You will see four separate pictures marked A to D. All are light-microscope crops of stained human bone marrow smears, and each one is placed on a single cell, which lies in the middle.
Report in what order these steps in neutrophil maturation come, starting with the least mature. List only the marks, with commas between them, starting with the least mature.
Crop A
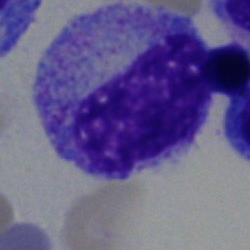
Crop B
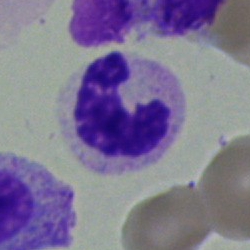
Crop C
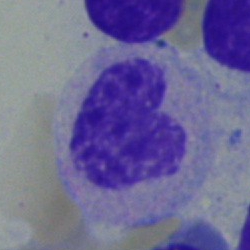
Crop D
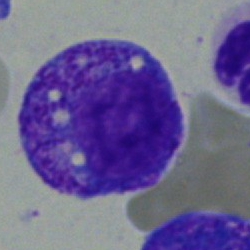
D, A, C, B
